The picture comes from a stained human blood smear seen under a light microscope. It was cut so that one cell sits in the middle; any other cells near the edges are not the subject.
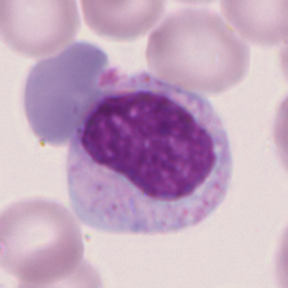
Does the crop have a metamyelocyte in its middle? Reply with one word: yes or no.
yes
